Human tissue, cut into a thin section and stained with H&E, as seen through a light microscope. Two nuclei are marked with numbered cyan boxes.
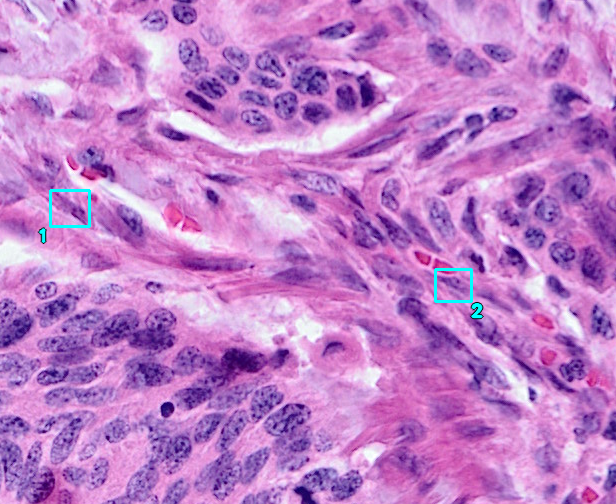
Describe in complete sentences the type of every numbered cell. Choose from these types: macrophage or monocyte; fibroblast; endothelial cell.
Cell 1 is a fibroblast and cell 2 is an endothelial cell.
